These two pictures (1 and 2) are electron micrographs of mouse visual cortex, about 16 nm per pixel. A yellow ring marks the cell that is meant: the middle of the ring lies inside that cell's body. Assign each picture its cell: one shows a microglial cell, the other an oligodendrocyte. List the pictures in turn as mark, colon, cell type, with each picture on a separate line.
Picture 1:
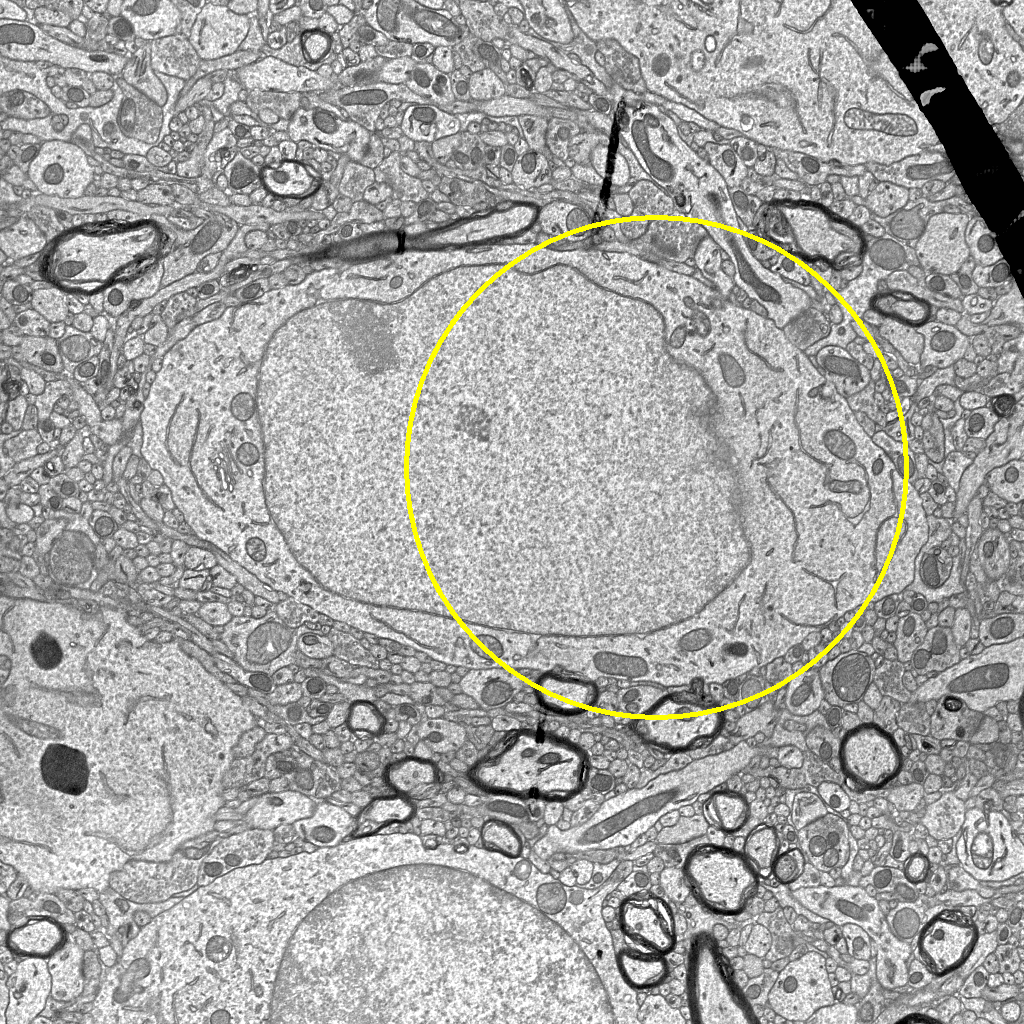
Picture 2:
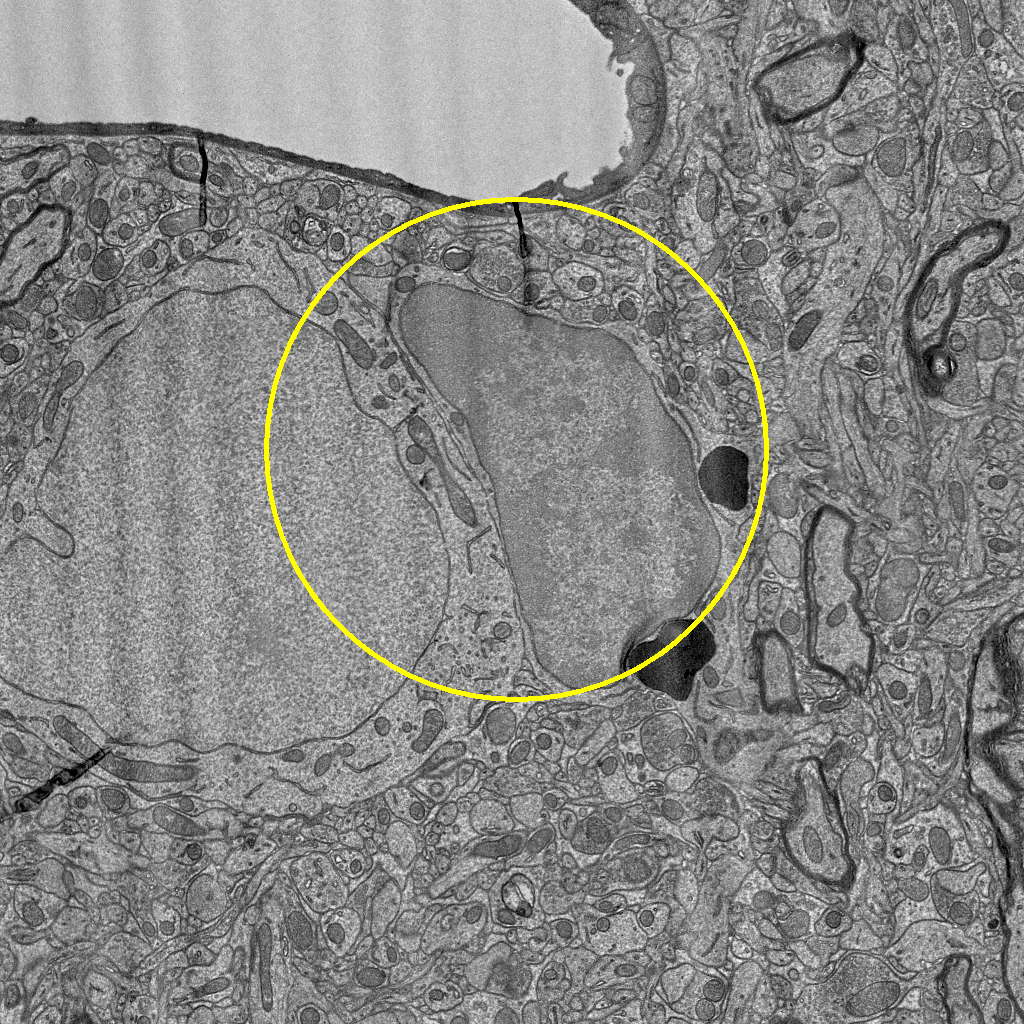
1: oligodendrocyte
2: microglial cell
